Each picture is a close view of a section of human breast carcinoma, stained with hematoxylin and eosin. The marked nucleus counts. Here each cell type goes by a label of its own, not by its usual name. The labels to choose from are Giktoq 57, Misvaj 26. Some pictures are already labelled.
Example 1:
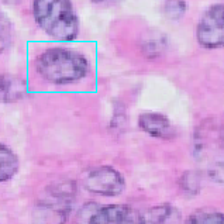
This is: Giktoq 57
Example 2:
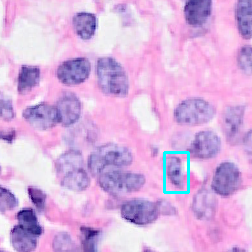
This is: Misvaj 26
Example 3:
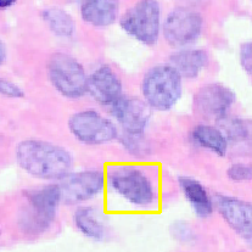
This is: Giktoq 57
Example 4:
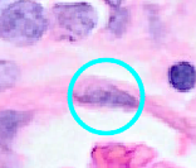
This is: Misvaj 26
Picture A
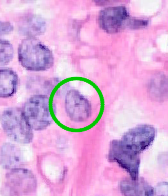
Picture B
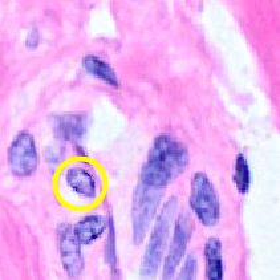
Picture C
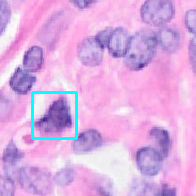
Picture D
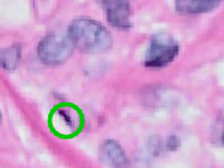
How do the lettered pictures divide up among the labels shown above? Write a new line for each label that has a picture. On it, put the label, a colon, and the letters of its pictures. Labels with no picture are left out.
Giktoq 57: A, C
Misvaj 26: B, D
